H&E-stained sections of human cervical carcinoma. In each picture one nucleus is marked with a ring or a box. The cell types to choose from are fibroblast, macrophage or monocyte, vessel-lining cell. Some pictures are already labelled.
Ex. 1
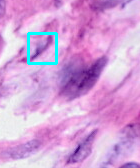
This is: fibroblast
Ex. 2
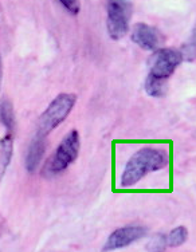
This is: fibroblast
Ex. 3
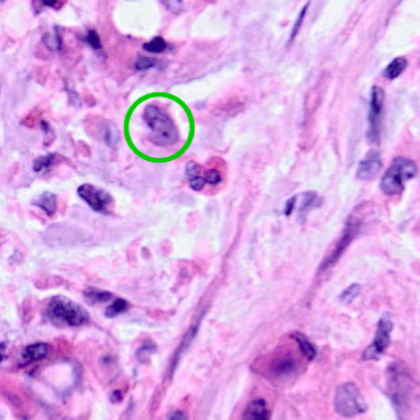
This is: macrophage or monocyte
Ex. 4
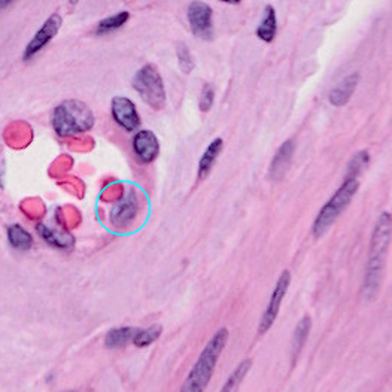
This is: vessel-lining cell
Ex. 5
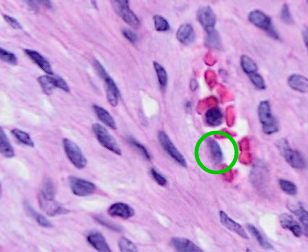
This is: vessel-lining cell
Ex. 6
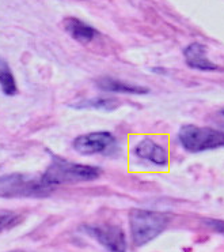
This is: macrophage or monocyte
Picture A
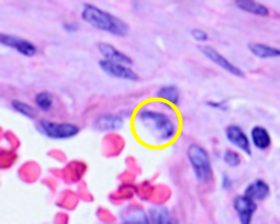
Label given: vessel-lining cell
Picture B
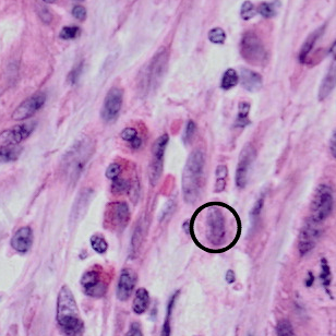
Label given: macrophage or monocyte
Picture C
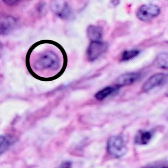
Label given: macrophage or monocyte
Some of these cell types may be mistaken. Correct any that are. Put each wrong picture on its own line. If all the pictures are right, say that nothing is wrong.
Every label is right.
